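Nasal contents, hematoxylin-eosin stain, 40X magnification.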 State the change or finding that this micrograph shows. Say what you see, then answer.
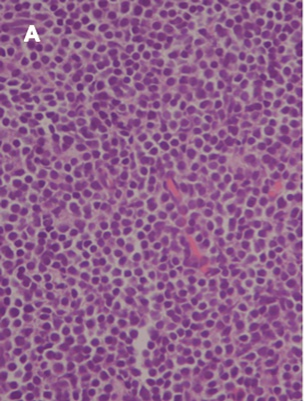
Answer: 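Diffuse lymphocytic infiltration. Sheets of densely packed small round cells fill the whole field. The cells have round, dark purple nuclei with scant cytoplasm. No glands or other tissue architecture interrupt the cell sheets.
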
